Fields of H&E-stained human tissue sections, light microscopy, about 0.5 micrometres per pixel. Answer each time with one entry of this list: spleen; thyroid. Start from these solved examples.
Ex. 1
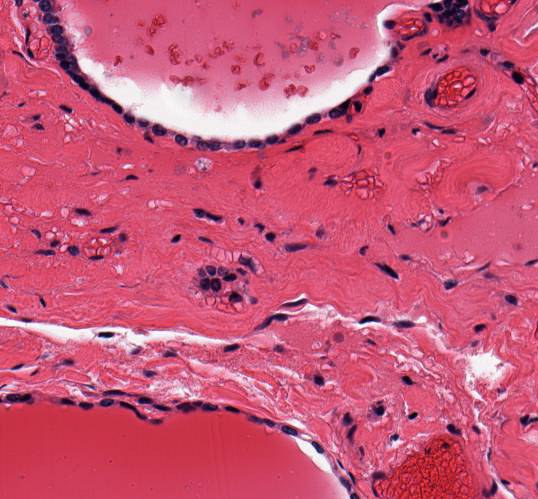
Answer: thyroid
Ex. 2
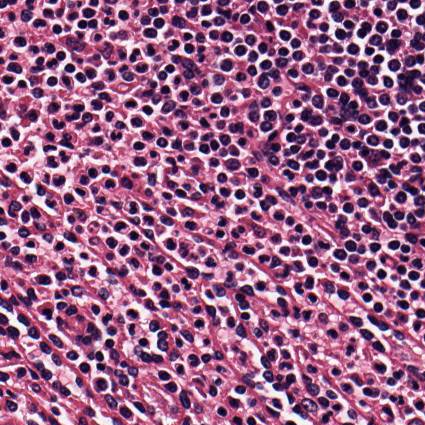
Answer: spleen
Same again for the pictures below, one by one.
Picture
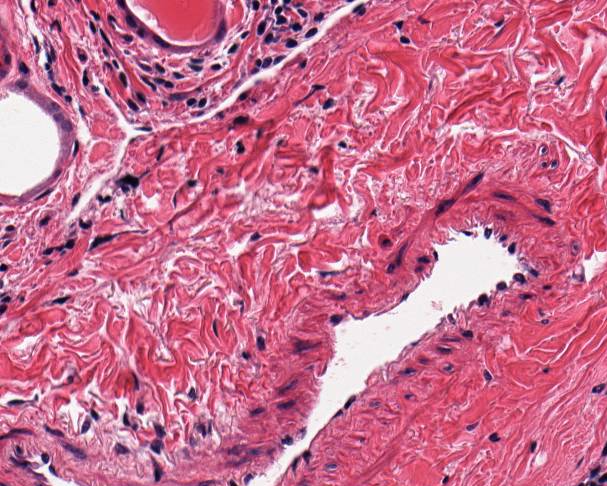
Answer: thyroid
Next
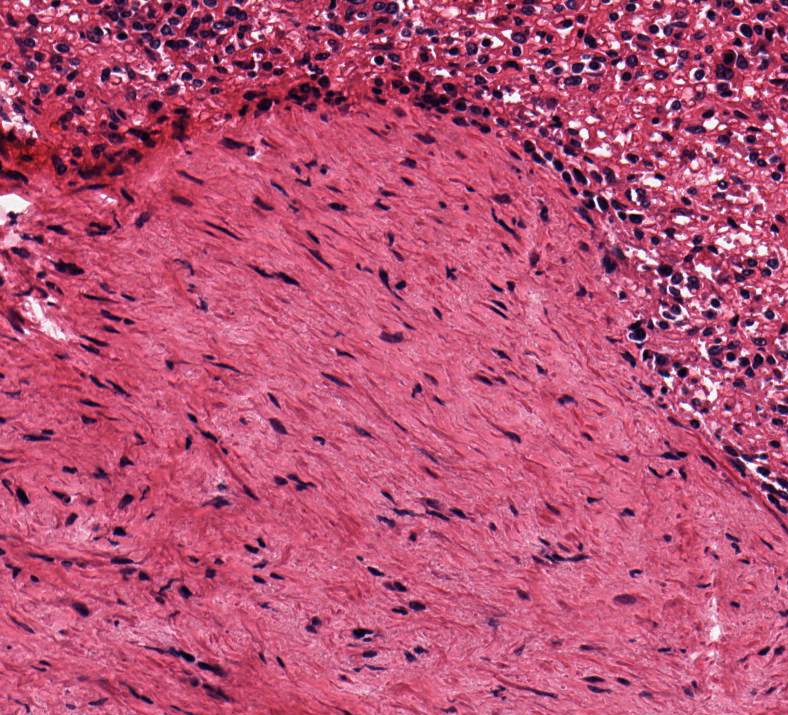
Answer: spleen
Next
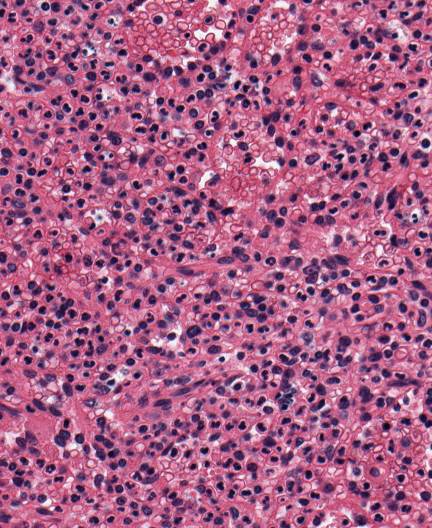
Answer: spleen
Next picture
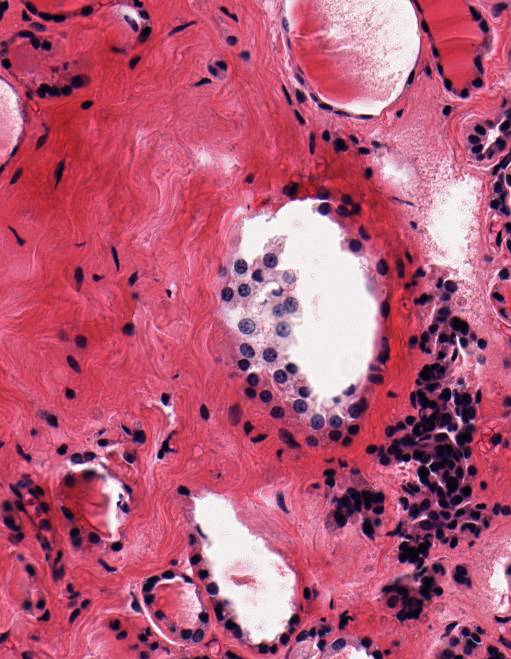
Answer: thyroid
